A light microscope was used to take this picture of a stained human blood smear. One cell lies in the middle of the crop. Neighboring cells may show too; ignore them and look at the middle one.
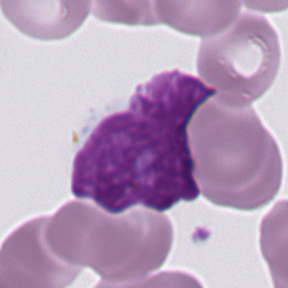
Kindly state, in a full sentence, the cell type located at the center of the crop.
The cell featured at the centre of this crop is a smudge cell.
